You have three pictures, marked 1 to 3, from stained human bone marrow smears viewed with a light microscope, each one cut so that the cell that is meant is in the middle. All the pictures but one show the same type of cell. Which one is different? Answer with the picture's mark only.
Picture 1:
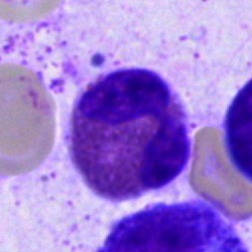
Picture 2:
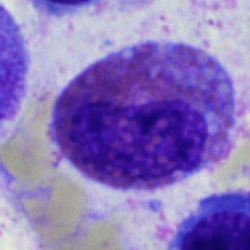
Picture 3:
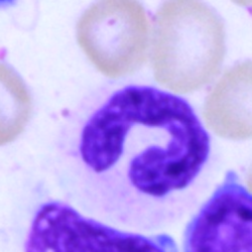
3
